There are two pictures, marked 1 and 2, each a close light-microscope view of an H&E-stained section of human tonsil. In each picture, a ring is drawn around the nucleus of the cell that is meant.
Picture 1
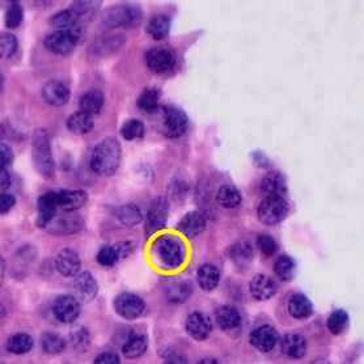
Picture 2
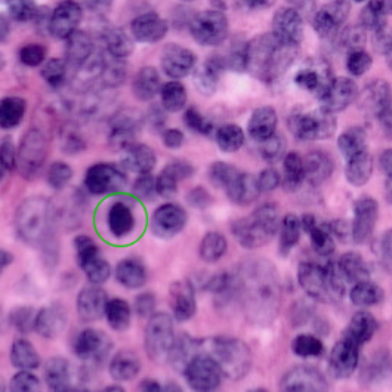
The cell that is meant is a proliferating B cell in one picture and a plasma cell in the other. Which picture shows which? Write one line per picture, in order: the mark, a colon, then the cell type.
1: plasma cell
2: proliferating B cell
